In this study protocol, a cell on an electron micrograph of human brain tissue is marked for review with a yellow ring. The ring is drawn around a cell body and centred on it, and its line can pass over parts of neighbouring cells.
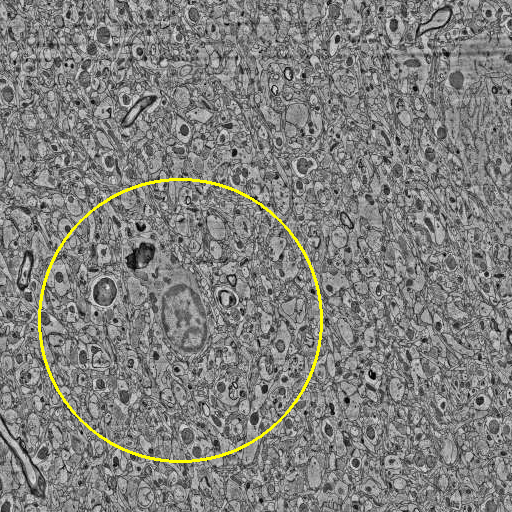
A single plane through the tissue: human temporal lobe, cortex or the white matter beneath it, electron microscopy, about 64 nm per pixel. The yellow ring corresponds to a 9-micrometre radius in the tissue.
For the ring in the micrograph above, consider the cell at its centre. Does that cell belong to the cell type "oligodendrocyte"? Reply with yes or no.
yes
